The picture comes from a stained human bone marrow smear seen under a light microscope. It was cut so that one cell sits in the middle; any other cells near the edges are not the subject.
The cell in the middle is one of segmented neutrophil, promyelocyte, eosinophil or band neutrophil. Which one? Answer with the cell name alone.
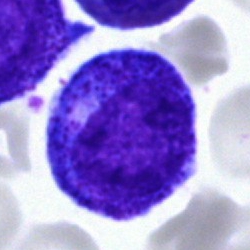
promyelocyte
